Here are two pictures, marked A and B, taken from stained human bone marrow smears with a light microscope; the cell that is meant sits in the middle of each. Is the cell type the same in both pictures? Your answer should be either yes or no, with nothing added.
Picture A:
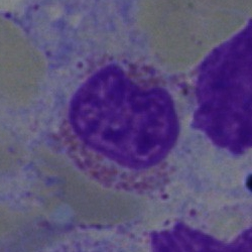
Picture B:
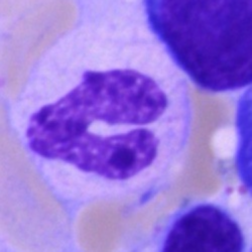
no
